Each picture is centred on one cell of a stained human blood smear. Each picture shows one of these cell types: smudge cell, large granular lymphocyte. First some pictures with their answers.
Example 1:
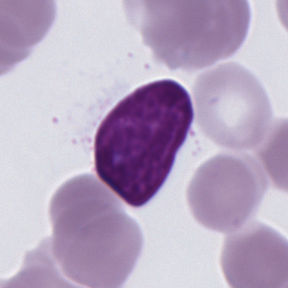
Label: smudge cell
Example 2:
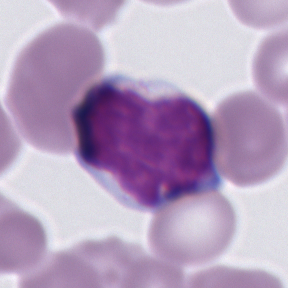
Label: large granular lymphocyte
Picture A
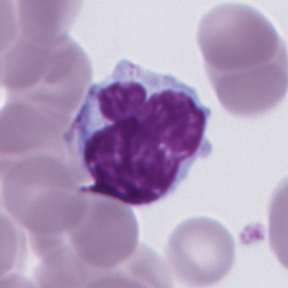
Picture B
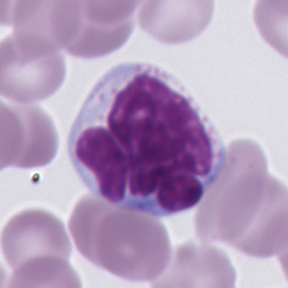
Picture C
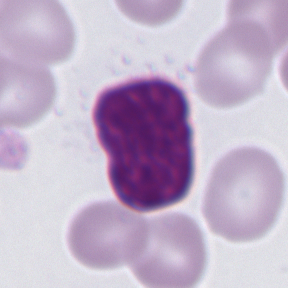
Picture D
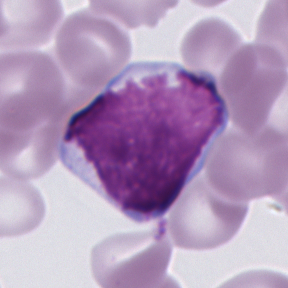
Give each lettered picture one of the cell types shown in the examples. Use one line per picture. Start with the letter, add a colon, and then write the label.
A: large granular lymphocyte
B: large granular lymphocyte
C: smudge cell
D: large granular lymphocyte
